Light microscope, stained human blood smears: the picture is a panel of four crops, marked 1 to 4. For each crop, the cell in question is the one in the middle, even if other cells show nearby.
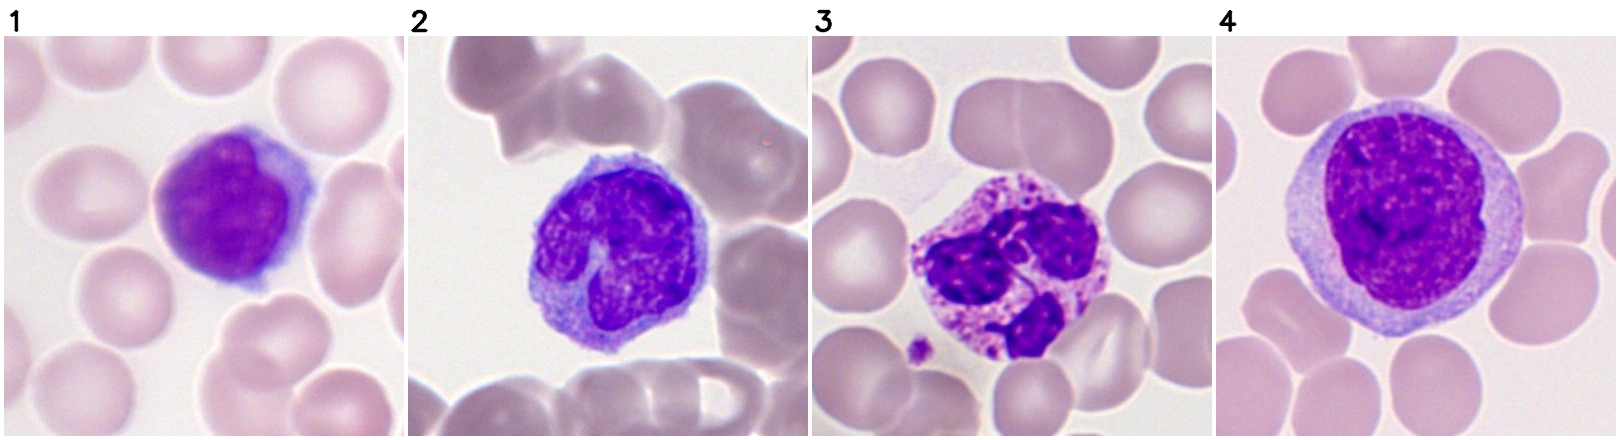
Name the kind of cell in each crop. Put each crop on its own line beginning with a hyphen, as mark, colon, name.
- 1: lymphocyte
- 2: monocyte
- 3: basophil
- 4: monocyte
